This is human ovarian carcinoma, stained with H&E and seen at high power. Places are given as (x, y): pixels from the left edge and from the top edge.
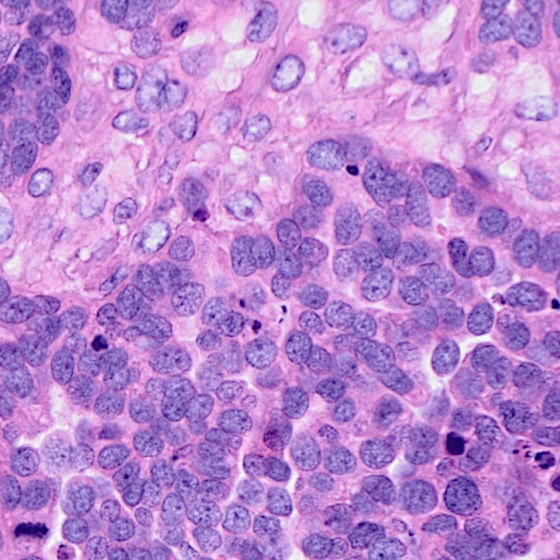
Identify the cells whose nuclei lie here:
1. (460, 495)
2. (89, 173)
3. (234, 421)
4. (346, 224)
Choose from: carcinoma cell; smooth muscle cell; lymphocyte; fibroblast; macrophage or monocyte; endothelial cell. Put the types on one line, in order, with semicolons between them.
carcinoma cell; fibroblast; carcinoma cell; carcinoma cell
